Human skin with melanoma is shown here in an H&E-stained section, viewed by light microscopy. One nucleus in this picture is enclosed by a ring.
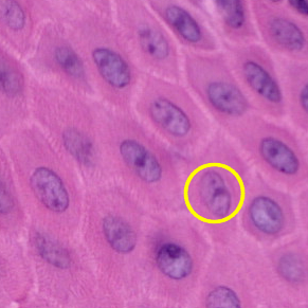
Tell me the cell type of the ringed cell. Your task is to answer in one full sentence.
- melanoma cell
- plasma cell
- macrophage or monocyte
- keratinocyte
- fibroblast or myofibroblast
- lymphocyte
The identity of the ringed cell is that of a keratinocyte.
